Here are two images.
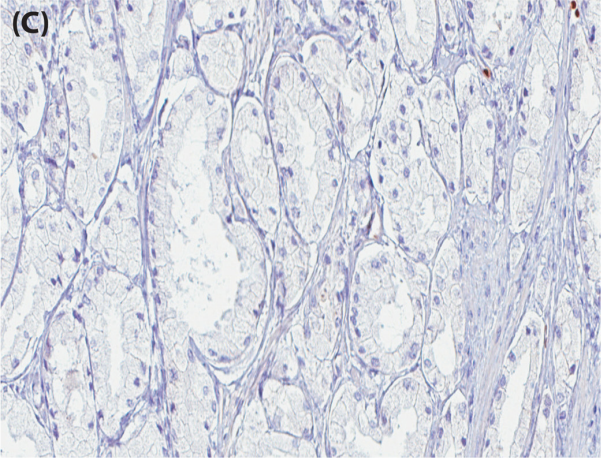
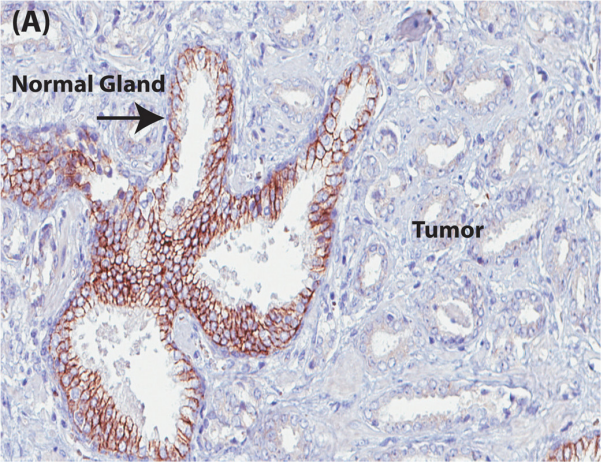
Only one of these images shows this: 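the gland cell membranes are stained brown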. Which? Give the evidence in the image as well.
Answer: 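The second image. First image: the glands are blue-grey with no brown membrane stain. Second image: a large gland has strong brown staining outlining each cell's membrane.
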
